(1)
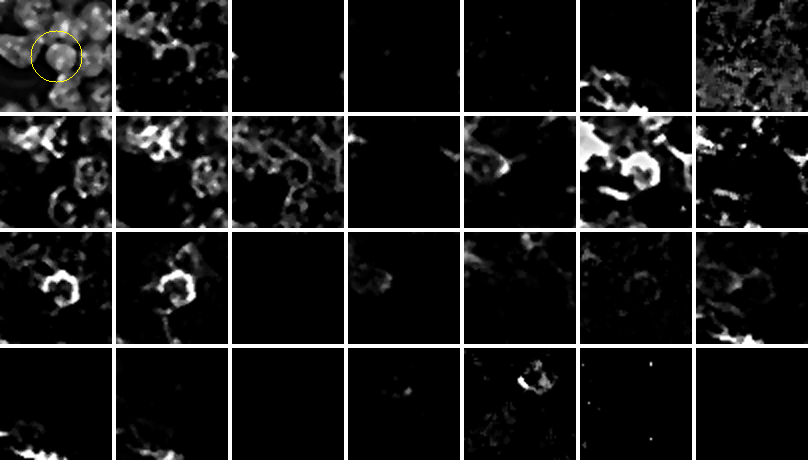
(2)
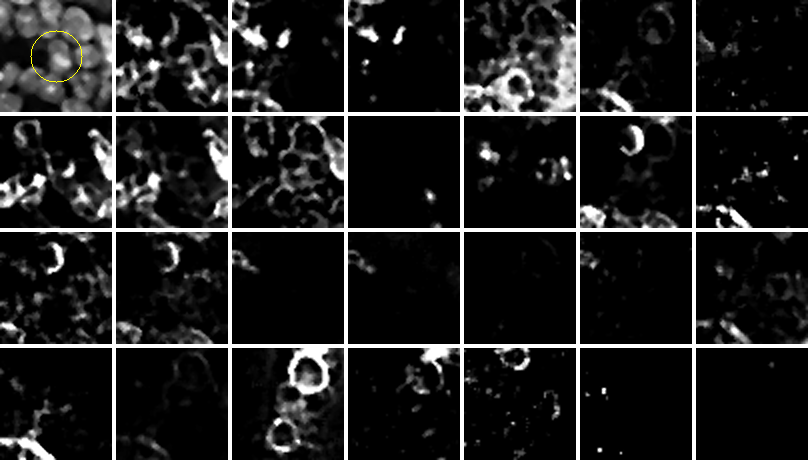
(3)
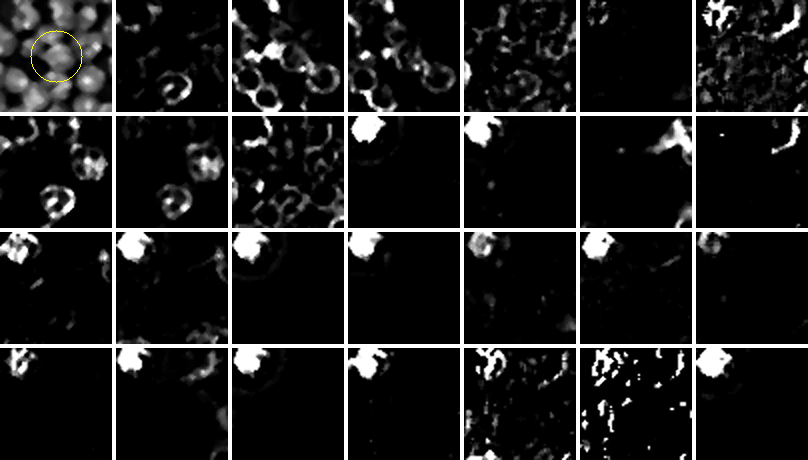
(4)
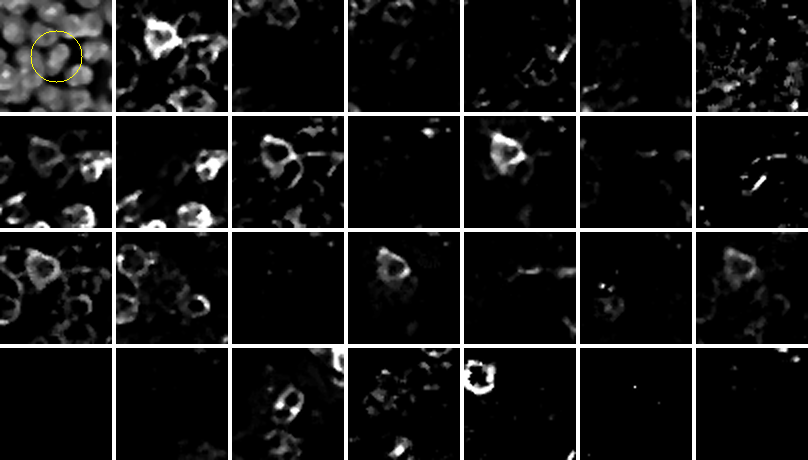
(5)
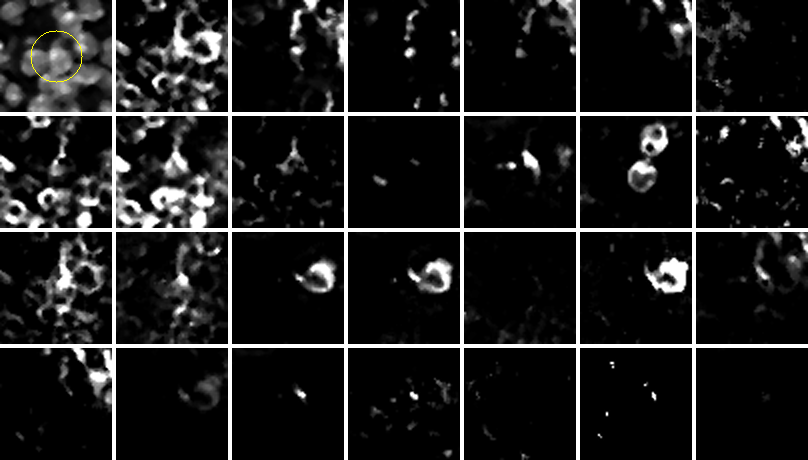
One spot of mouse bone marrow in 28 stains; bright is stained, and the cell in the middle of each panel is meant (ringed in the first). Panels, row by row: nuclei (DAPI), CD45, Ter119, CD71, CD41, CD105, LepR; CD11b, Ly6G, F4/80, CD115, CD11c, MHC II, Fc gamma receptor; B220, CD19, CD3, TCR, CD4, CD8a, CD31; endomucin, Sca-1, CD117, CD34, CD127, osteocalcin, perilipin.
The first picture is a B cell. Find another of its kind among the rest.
Picture 5.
